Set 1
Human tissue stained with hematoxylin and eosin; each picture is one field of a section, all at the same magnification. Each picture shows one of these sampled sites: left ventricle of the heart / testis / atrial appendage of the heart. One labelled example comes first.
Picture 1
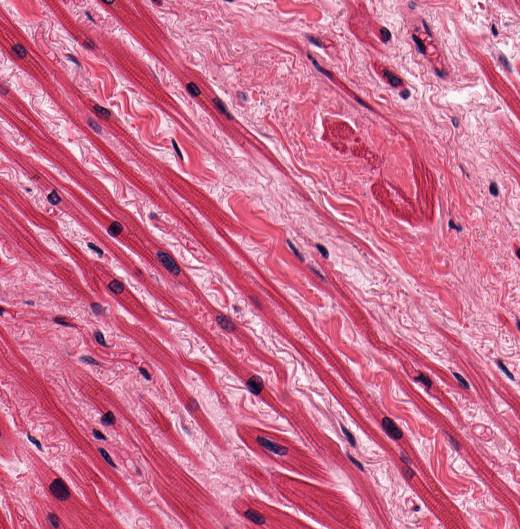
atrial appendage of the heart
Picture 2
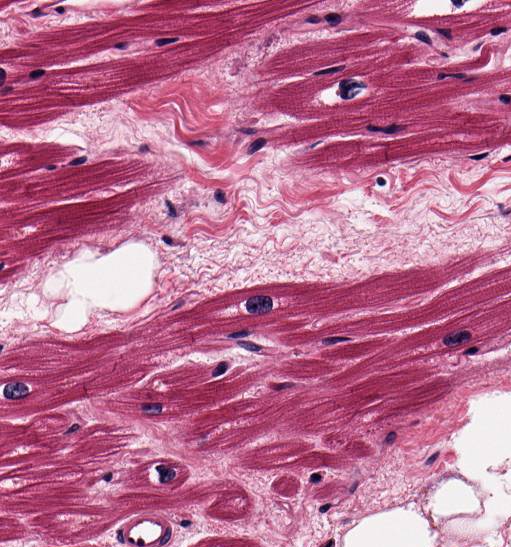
atrial appendage of the heart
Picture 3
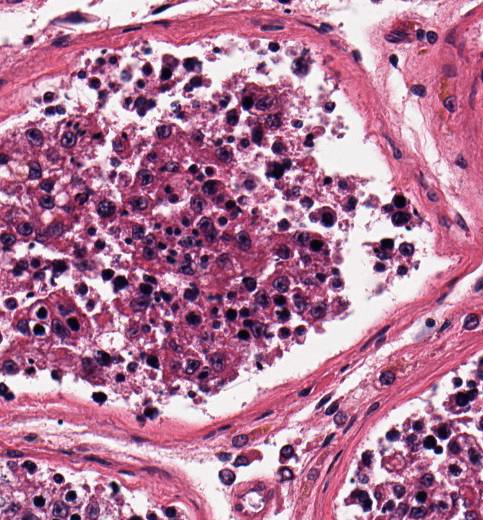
testis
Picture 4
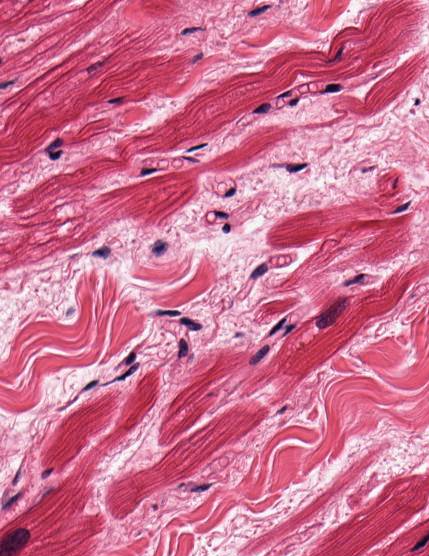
atrial appendage of the heart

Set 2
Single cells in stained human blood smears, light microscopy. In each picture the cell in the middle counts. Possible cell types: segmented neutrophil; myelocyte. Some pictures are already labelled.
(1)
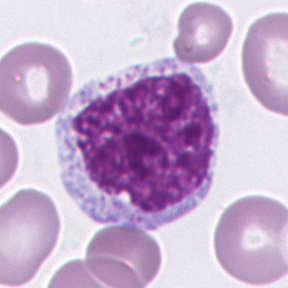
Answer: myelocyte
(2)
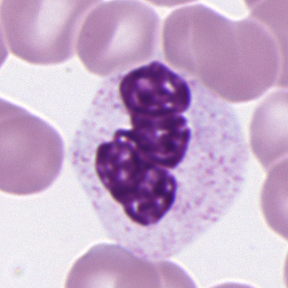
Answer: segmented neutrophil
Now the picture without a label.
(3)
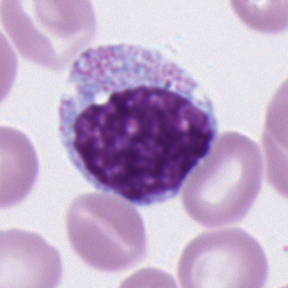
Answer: myelocyte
